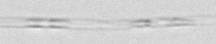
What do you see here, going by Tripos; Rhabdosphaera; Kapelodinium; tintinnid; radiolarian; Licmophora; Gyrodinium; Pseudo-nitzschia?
I see Pseudo-nitzschia.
